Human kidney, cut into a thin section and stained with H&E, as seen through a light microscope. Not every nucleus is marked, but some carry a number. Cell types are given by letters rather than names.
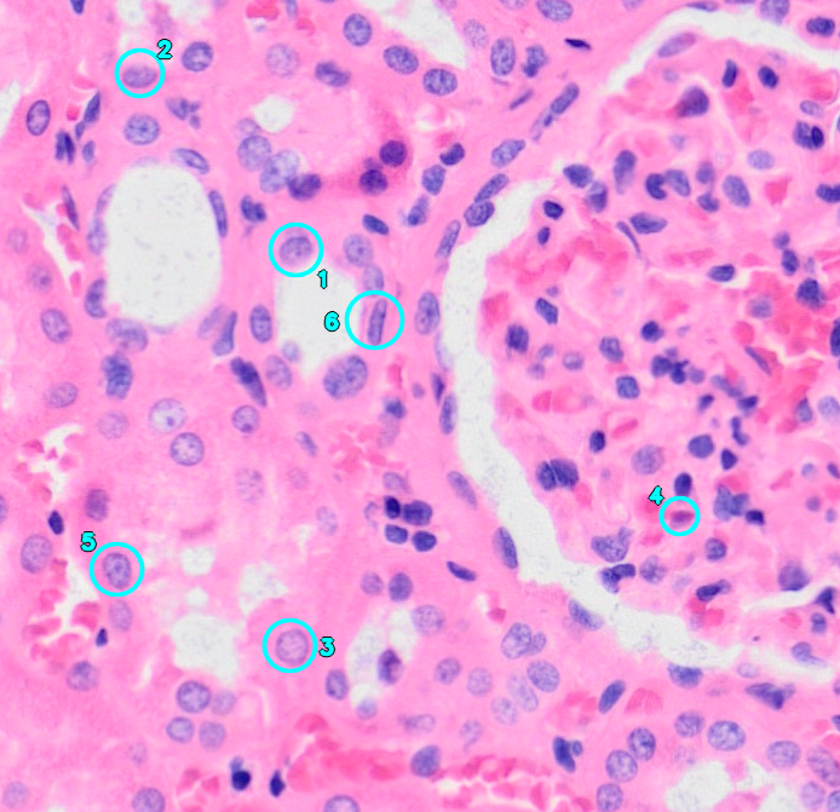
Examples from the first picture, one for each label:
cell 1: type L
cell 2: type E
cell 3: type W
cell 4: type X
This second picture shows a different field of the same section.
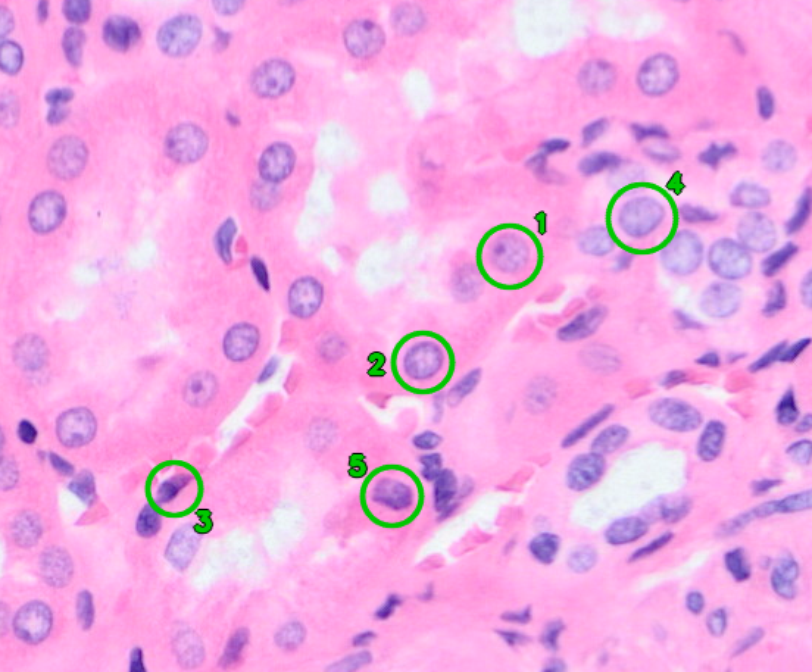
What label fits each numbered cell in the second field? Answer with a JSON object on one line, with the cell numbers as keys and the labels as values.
{"1": "type W", "2": "type W", "3": "type X", "4": "type L", "5": "type W"}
